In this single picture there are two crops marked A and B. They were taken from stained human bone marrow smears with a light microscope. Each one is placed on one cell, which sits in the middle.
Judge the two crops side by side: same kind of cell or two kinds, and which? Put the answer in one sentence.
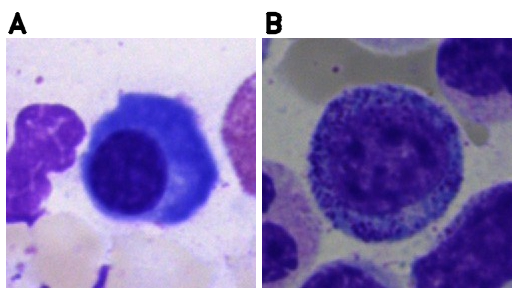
No, a plasma cell is what occupies crop A, and a promyelocyte is what occupies crop B.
